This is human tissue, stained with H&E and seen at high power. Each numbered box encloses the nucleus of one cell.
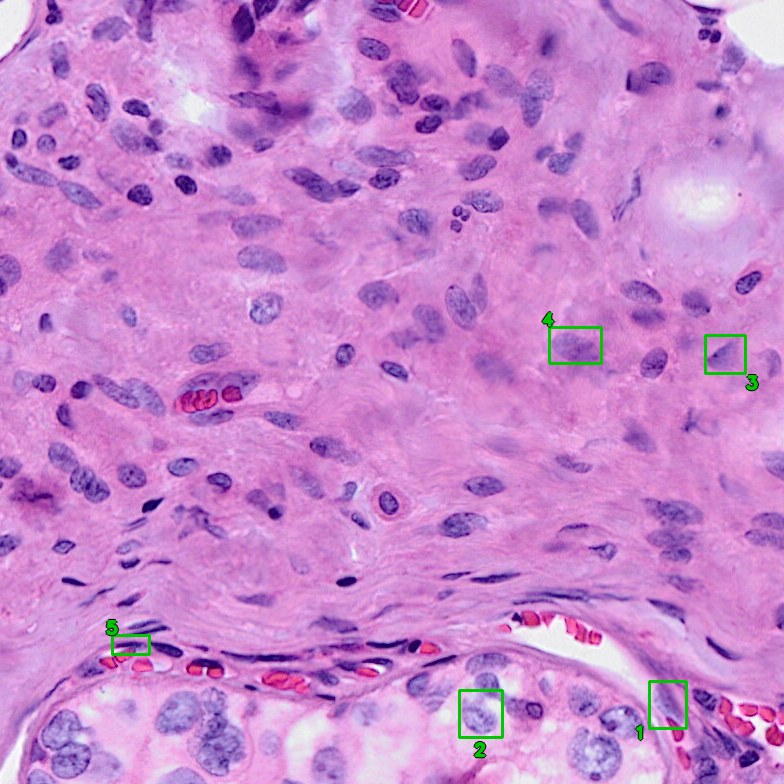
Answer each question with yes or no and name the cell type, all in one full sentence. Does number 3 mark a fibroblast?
Yes, the marked cell number 3 is a fibroblast.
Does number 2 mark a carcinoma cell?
Yes, the cell carrying number 2 is a carcinoma cell.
